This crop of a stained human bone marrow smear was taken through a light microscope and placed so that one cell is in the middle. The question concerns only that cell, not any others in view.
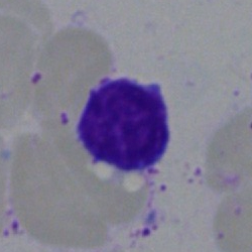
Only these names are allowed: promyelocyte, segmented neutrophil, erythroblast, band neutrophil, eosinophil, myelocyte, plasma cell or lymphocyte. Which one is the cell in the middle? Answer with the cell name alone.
lymphocyte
